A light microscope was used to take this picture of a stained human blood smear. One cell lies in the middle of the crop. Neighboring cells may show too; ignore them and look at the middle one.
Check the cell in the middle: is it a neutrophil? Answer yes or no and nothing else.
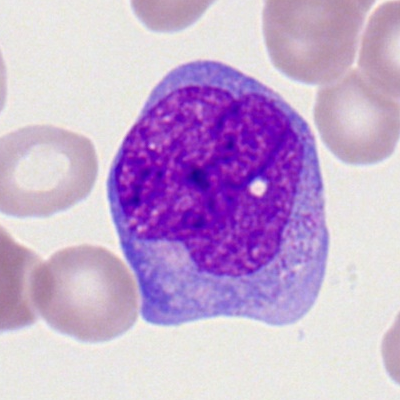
no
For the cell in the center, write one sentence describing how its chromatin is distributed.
In this cell the chromatin is fine rather than coarsely clumped.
